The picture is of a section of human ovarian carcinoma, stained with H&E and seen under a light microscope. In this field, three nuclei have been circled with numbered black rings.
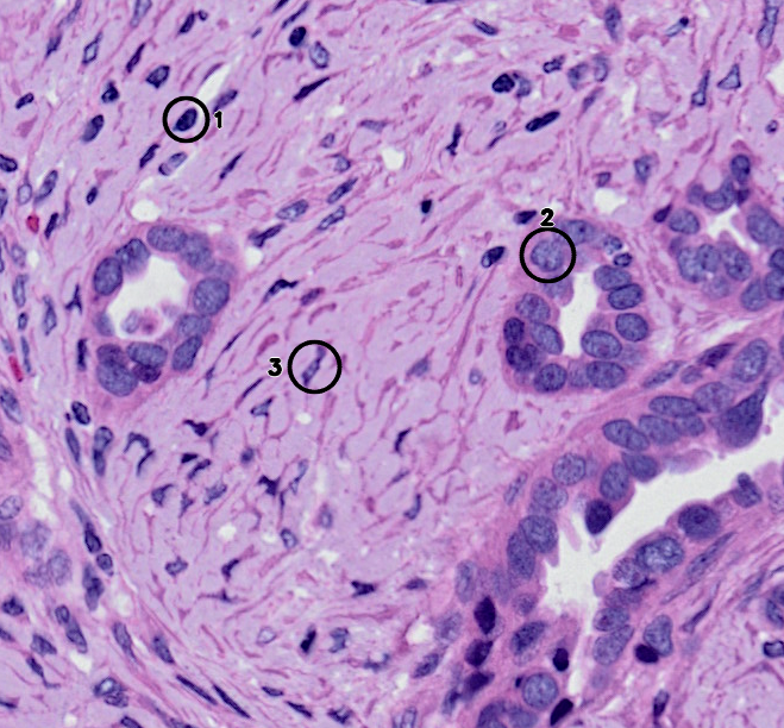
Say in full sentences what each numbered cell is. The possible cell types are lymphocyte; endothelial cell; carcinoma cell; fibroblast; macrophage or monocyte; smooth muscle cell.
Cell 1 is a lymphocyte. Cell 2 is a carcinoma cell. Cell 3 is a fibroblast.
